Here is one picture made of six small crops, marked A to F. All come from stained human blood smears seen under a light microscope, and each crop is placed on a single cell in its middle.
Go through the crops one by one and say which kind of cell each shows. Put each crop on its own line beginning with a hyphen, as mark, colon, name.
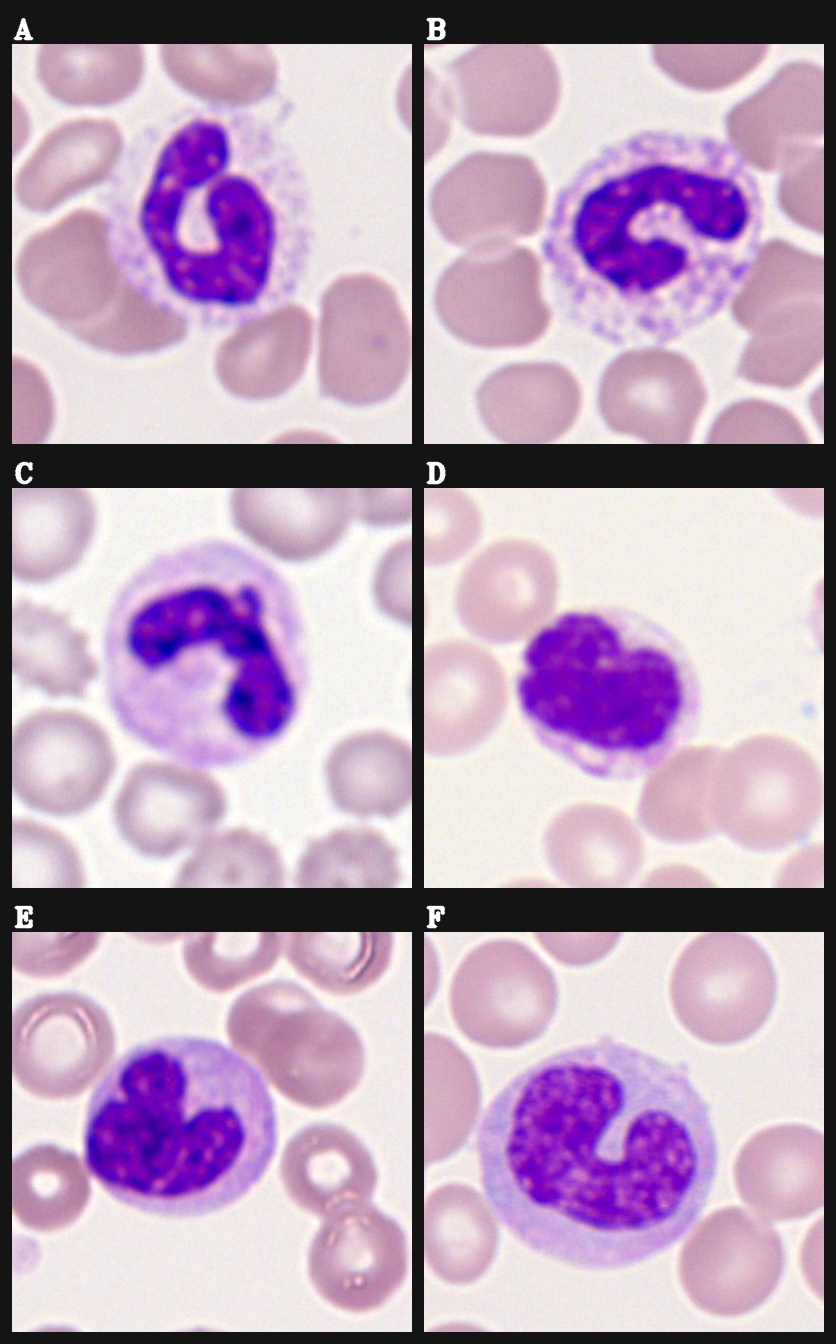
- A: band neutrophil
- B: band neutrophil
- C: band neutrophil
- D: basophil
- E: segmented neutrophil
- F: monocyte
